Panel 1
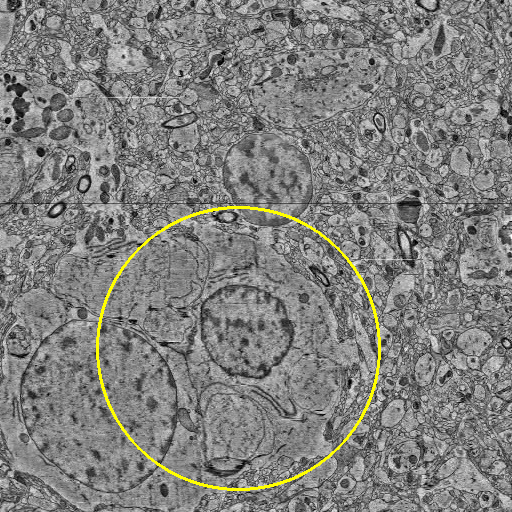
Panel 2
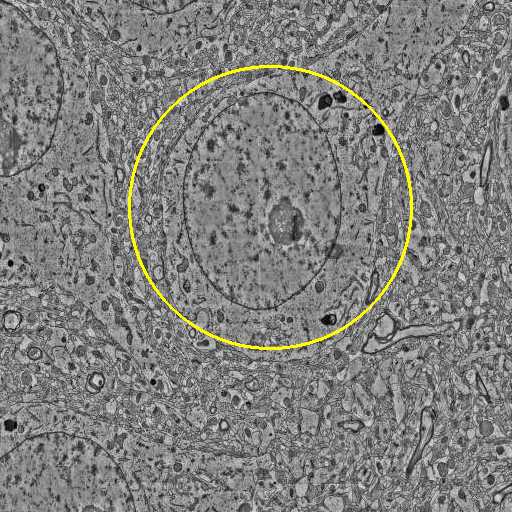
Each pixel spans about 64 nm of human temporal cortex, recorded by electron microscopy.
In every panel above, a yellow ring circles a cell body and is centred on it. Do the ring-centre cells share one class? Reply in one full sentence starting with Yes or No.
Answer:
No, the two cells at the ring centres in the panels belong to two classes.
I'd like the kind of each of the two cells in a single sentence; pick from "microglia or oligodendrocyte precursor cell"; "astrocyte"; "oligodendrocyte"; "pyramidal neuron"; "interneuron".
The first ring marks an astrocyte, and the second ring marks a pyramidal neuron.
